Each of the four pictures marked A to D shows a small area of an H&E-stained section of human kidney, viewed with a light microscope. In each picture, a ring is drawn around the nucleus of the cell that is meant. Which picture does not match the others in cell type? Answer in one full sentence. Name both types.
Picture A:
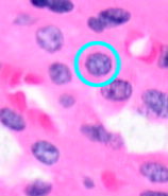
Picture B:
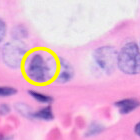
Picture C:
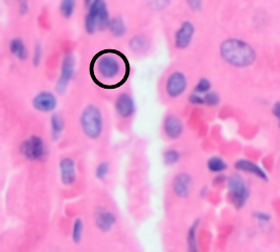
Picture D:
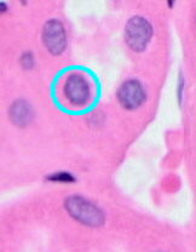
The others show “loop of Henle or distal tubule cells”, but picture B shows a collecting duct cell.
